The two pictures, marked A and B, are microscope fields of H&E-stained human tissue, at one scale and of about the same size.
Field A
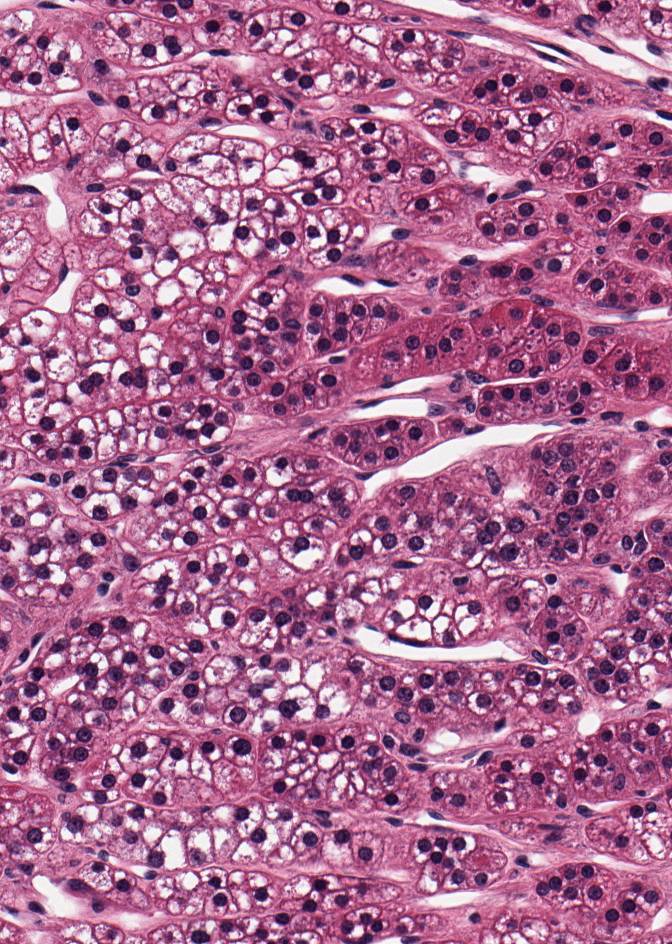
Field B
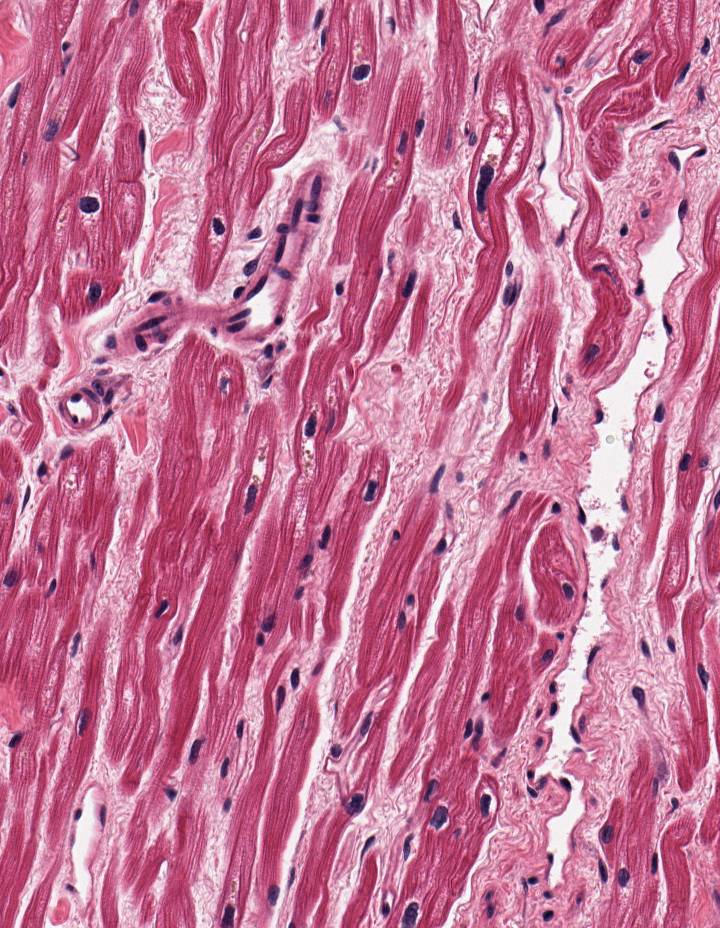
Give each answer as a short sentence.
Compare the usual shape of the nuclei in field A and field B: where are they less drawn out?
On the whole the nuclei of field A are rounder than those of field B.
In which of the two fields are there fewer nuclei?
The smaller number of nuclei is in field B.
